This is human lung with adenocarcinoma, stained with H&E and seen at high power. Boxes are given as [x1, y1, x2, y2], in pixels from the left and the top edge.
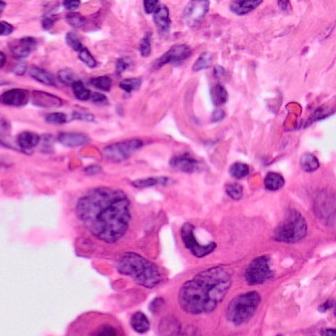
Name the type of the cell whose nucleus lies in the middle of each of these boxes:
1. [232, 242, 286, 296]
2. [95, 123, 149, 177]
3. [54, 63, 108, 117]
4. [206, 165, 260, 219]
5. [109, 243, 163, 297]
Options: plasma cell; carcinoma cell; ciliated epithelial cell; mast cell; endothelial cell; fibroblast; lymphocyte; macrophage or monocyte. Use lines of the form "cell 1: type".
cell 1: carcinoma cell
cell 2: endothelial cell
cell 3: plasma cell
cell 4: lymphocyte
cell 5: carcinoma cell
